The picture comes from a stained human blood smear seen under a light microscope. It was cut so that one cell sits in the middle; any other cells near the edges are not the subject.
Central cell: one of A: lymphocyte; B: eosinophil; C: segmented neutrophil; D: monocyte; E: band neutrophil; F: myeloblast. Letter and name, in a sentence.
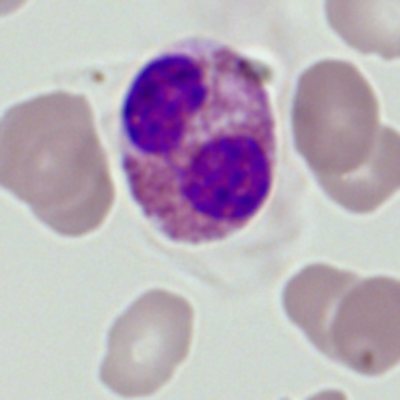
In this crop the central cell is an eosinophil, which option B correctly states.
